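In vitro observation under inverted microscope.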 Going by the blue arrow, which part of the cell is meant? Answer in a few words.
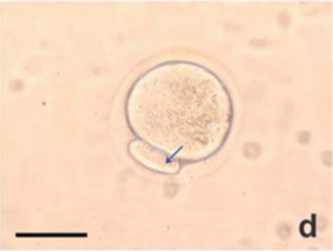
first polar body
